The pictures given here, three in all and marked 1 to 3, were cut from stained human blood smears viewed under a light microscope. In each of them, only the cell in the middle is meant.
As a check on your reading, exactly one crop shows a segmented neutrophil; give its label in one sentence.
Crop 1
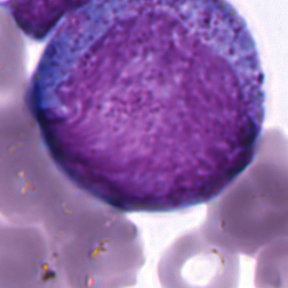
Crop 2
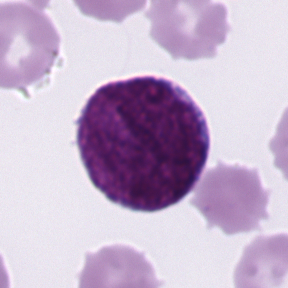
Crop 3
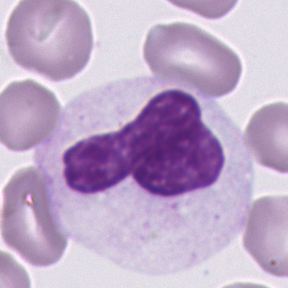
Identified crop: 3, the one that shows a segmented neutrophil.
